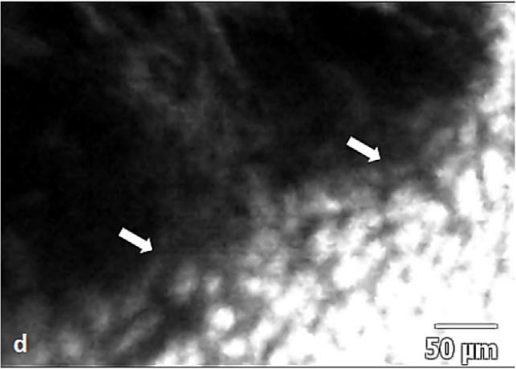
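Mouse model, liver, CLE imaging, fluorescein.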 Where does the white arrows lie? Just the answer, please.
Border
